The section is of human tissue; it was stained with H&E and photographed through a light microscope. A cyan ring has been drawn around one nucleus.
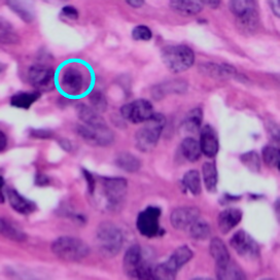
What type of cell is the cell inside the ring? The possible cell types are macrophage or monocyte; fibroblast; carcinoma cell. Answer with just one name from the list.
carcinoma cell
